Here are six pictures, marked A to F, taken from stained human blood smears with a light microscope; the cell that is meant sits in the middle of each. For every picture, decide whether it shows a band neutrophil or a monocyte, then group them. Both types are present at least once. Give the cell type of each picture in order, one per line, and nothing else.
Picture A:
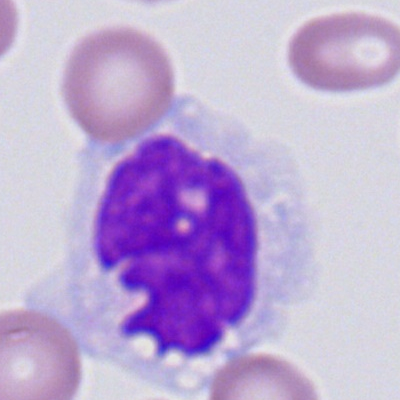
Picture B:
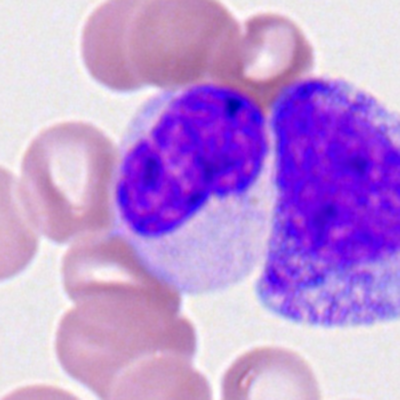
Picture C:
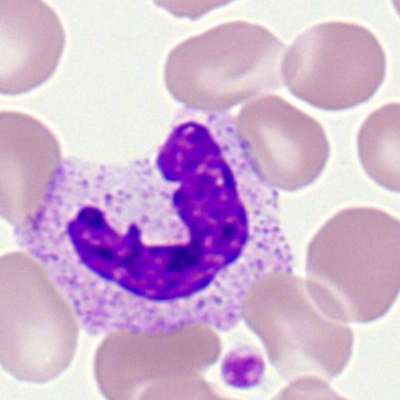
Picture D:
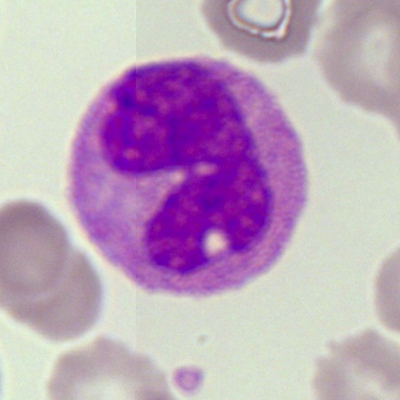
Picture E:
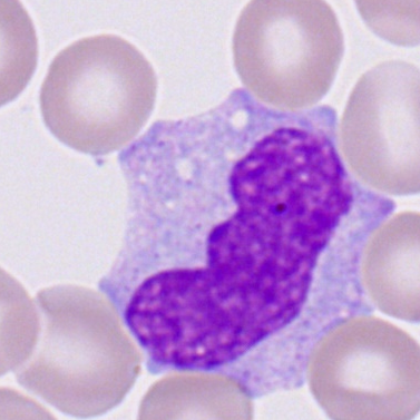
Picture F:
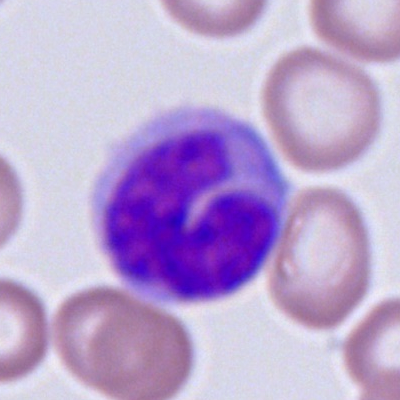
monocyte
band neutrophil
band neutrophil
monocyte
monocyte
monocyte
